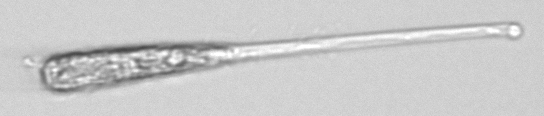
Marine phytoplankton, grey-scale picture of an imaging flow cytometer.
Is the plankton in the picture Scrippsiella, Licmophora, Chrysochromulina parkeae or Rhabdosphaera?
It is Licmophora.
